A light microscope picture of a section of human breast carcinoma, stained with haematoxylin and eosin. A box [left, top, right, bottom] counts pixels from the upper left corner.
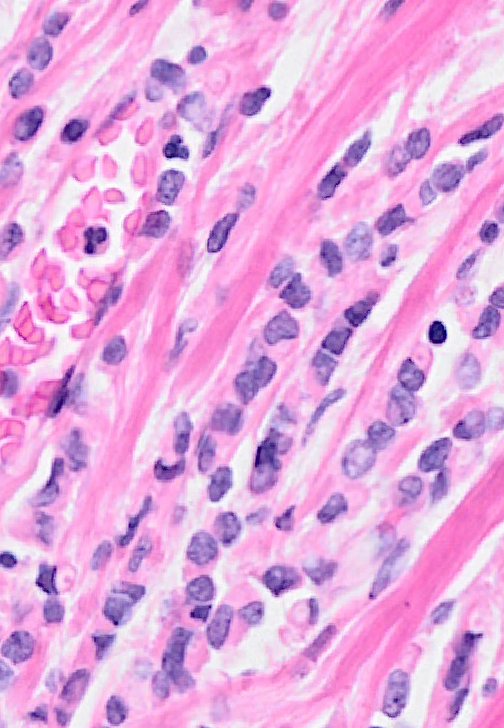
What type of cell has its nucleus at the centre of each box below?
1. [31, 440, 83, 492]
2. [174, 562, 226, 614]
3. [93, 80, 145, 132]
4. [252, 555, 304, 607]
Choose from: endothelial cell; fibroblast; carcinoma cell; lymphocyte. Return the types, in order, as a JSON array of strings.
["endothelial cell", "carcinoma cell", "endothelial cell", "carcinoma cell"]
